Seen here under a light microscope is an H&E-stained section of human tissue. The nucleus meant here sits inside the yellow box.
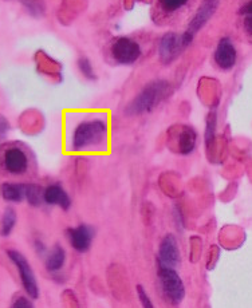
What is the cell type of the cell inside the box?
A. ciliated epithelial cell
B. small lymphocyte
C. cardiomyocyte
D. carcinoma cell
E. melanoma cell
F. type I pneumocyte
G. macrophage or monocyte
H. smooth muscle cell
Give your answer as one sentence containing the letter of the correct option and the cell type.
Option F, identifying the cell inside the box as a type I pneumocyte, is correct.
